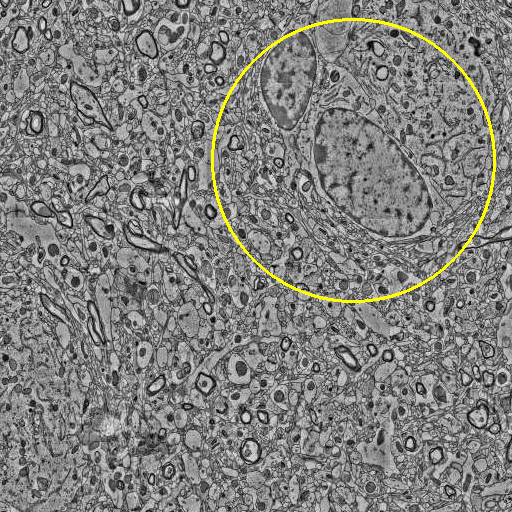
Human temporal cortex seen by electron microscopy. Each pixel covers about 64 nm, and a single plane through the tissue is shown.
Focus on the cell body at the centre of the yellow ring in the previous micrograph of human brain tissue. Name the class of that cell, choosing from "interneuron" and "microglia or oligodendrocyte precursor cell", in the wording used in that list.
microglia or oligodendrocyte precursor cell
